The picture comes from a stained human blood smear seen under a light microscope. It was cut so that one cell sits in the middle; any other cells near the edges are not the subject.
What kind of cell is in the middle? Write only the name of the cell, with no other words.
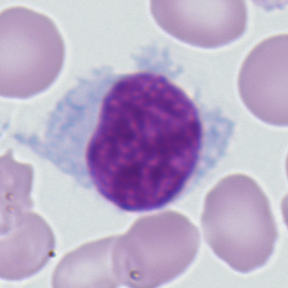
hairy cell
